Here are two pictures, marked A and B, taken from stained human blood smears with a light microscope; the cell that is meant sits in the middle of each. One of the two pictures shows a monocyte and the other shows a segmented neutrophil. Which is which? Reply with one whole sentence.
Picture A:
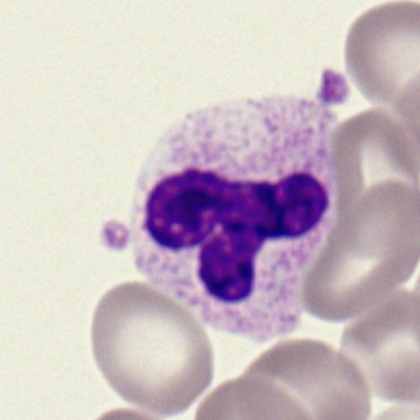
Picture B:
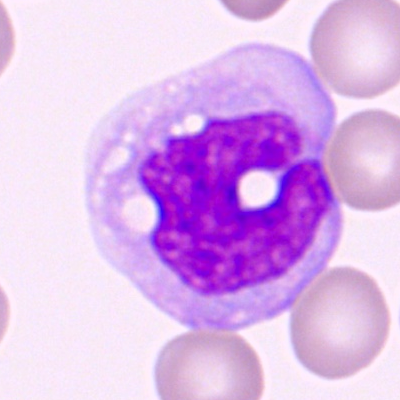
Picture A is of a segmented neutrophil, and picture B is of a monocyte.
